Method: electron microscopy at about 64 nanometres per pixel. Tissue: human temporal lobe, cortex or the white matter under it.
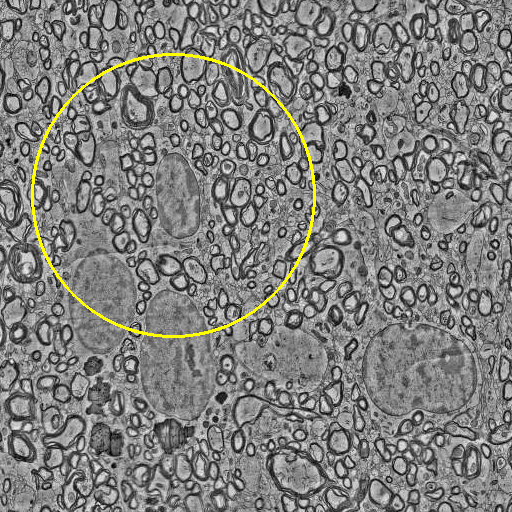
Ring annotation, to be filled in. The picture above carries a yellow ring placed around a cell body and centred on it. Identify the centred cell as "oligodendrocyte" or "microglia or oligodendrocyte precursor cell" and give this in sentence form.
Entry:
The cell in the middle of the ring is a microglial cell or oligodendrocyte precursor cell.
